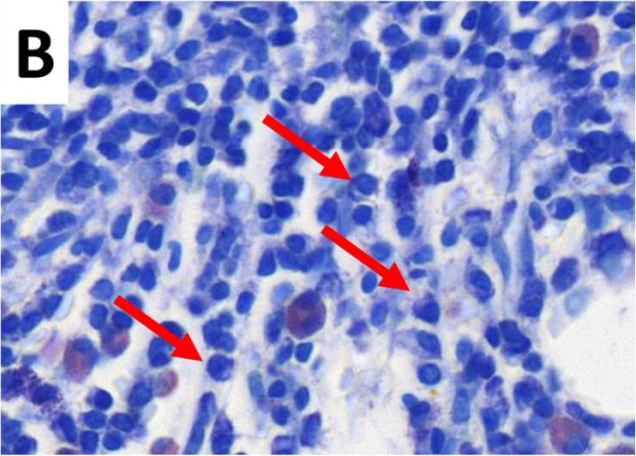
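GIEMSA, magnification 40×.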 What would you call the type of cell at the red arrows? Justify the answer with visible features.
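Plasma cells. The arrows point to single cells among a dense population of small blue-stained cells. The marked cells have round nuclei set to one side of the cell.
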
